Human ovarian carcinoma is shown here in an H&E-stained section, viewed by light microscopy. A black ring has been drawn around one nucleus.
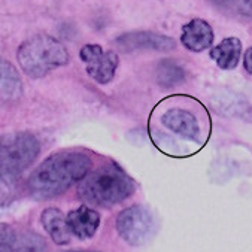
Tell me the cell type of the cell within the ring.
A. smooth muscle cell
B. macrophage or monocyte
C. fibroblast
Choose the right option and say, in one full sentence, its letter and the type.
On this slide, the cell within the ring is a macrophage or monocyte, so option B is right.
